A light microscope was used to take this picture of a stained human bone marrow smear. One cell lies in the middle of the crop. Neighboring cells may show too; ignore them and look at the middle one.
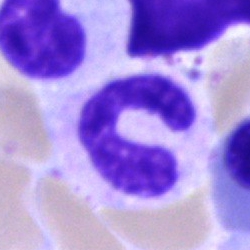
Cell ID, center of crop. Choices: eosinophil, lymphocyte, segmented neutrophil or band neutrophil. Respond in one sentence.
The cell at the central position in this crop is a band neutrophil.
